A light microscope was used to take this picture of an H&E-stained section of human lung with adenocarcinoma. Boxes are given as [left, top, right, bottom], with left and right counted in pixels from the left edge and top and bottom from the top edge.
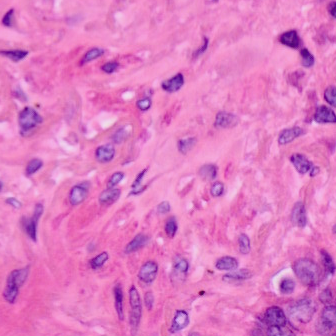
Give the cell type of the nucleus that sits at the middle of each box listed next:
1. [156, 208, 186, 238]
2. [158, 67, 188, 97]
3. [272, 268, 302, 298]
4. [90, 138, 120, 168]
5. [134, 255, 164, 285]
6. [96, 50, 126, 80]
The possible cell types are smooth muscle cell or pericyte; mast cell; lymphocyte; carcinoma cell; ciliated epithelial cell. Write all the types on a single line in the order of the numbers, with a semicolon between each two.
smooth muscle cell or pericyte; mast cell; lymphocyte; mast cell; smooth muscle cell or pericyte; smooth muscle cell or pericyte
